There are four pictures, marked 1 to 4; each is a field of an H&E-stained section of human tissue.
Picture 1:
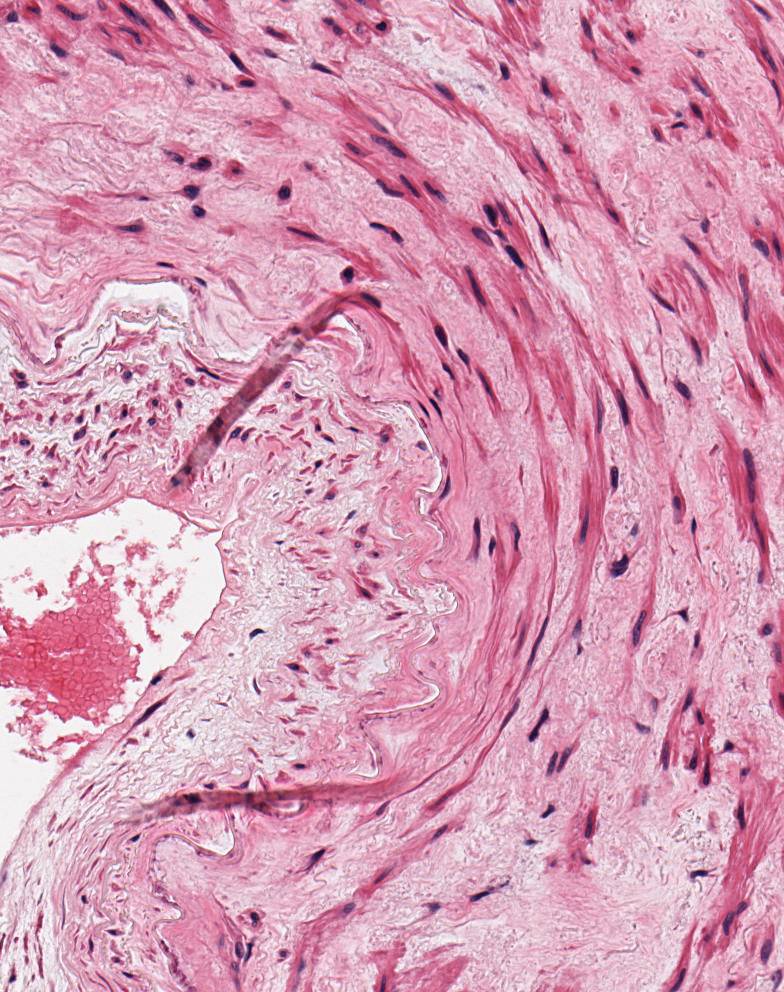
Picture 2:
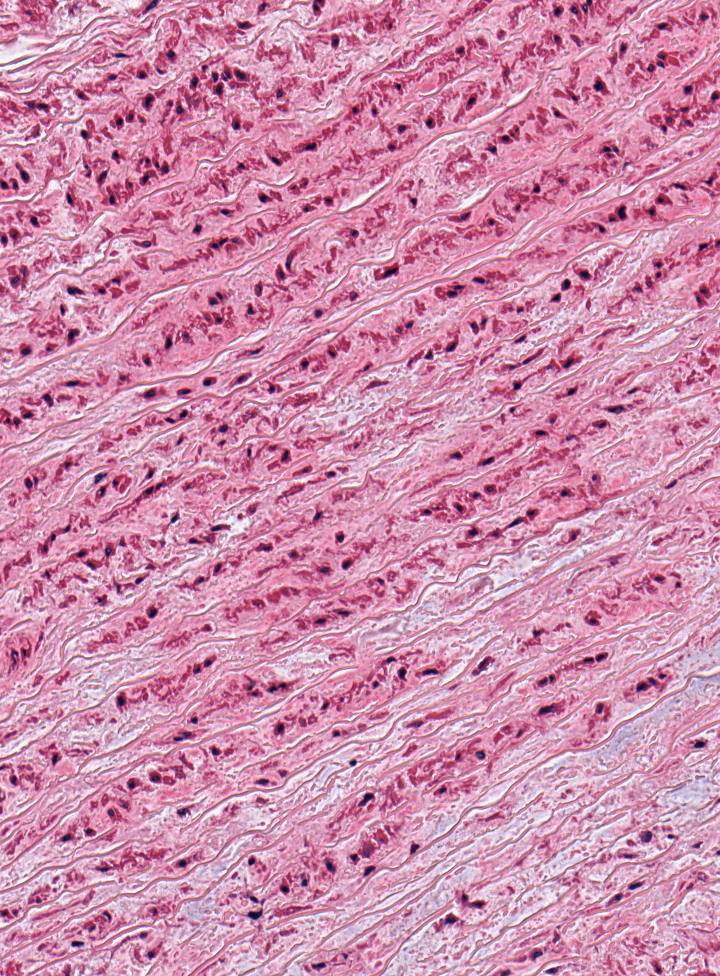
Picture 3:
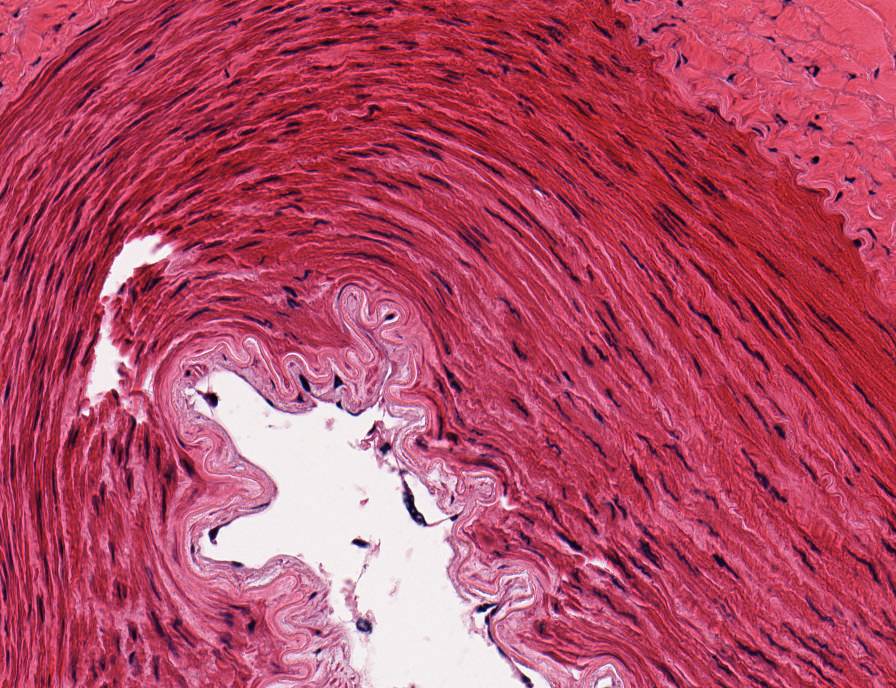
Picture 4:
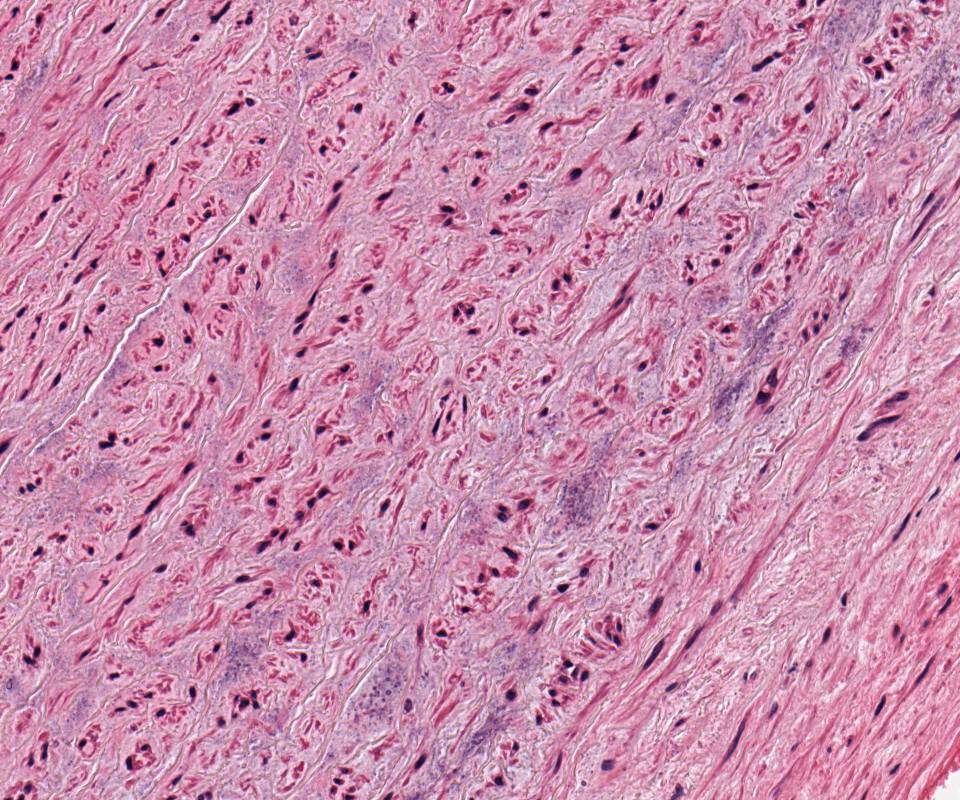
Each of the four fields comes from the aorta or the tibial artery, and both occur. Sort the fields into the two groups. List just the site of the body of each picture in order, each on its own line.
tibial artery
aorta
tibial artery
aorta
